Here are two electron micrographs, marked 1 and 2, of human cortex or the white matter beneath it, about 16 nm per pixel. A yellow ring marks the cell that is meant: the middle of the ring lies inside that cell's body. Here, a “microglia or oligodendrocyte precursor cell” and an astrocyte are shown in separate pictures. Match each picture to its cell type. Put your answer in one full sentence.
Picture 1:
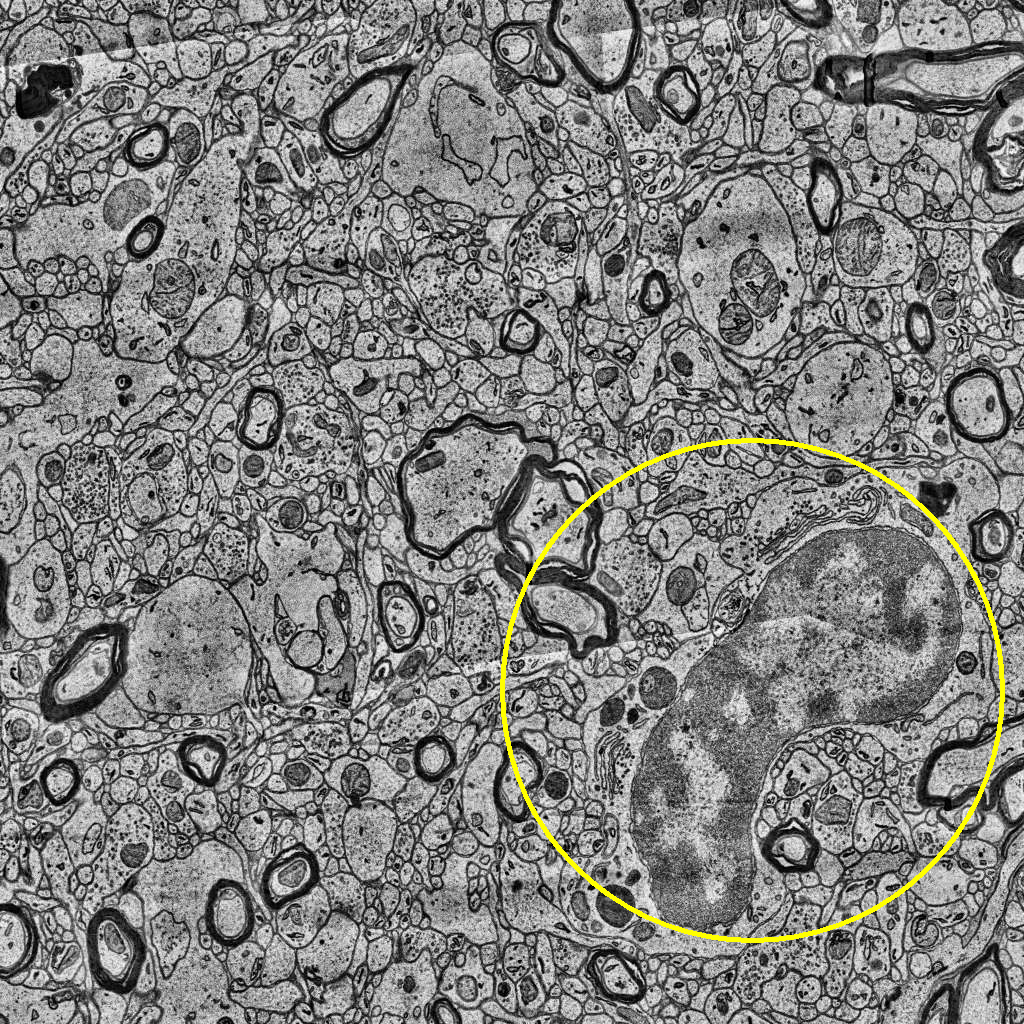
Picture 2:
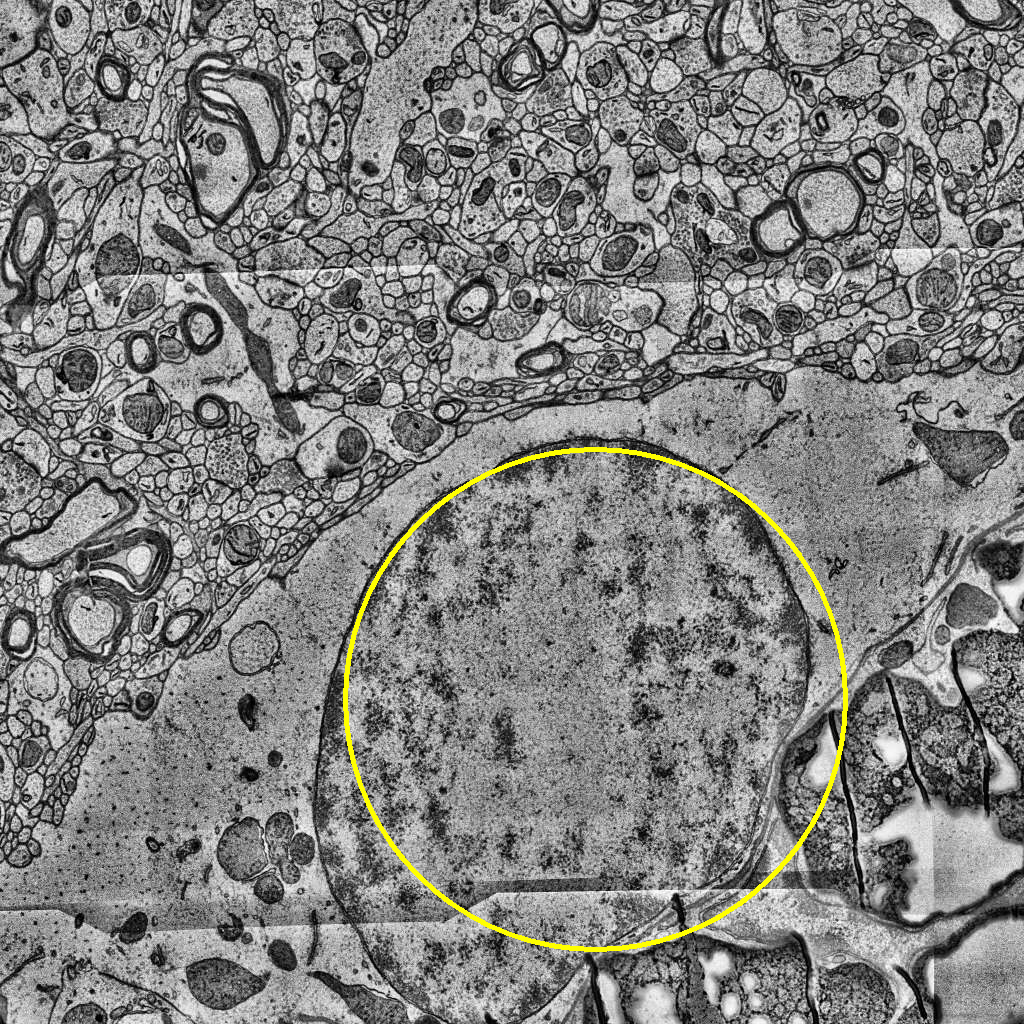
Picture 2 shows an astrocyte, while picture 1 shows a “microglia or oligodendrocyte precursor cell”.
